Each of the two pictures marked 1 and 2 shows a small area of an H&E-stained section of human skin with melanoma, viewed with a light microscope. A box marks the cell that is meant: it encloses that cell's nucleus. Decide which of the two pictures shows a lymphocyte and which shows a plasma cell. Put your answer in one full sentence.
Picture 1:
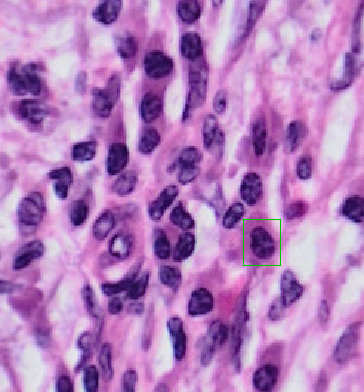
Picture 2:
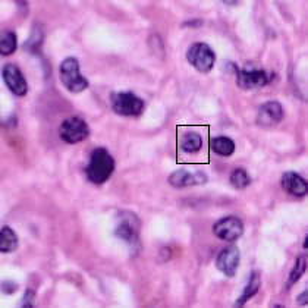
Picture 1 is of a plasma cell, and picture 2 is of a lymphocyte.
